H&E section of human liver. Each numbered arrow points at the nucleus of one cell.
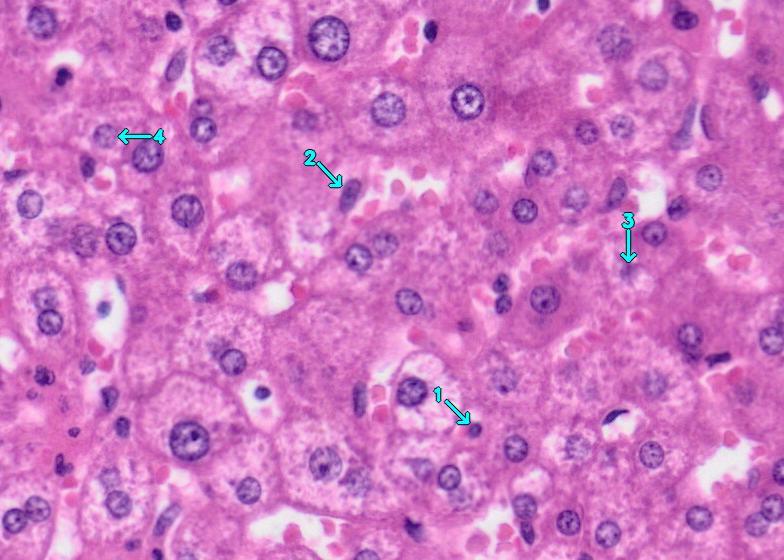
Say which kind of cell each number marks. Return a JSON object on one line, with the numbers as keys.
{"1": "lymphocyte", "2": "Kupffer cell", "3": "hepatocyte", "4": "hepatocyte"}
